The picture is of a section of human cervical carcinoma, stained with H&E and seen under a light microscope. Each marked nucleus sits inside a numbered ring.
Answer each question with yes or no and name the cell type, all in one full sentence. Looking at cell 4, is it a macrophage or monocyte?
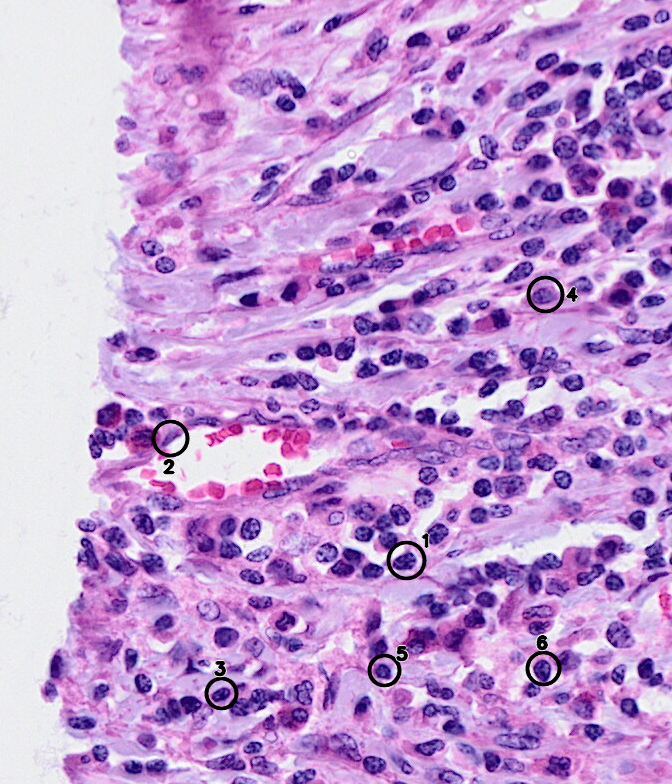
Yes, on this slide, the cell with number 4 is a macrophage or monocyte.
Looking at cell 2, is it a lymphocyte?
No, cell 2 is not a lymphocyte at all but an endothelial cell.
